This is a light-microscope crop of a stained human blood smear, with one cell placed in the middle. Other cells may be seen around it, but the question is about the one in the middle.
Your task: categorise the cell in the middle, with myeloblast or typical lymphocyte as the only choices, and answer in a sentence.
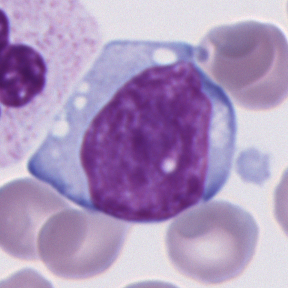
By classification, the middle cell of this crop is a myeloblast.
